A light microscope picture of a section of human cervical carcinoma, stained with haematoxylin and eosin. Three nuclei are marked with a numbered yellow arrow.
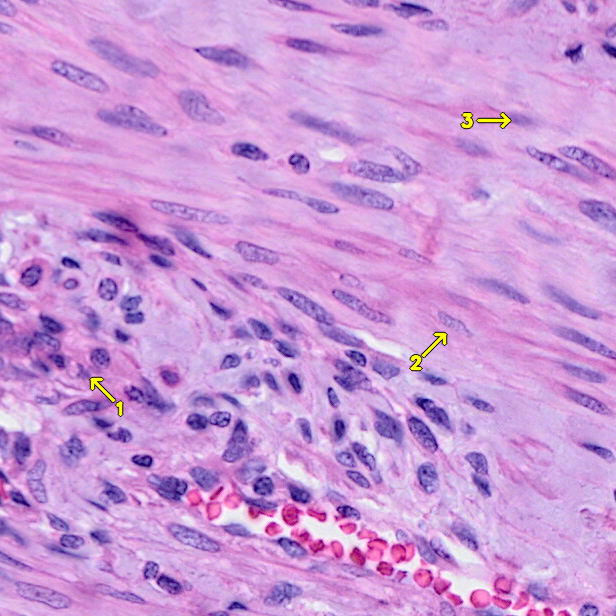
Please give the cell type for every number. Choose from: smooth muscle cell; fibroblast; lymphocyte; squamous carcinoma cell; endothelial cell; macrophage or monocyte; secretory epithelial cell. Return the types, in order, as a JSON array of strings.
["endothelial cell", "smooth muscle cell", "smooth muscle cell"]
